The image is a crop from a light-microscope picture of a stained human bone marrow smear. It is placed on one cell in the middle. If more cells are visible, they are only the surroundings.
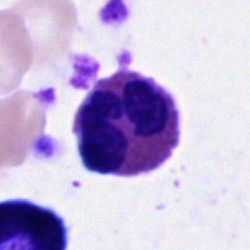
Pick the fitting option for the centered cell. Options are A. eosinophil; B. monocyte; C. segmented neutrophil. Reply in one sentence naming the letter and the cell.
In this crop the central cell is an eosinophil, which option A correctly states.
